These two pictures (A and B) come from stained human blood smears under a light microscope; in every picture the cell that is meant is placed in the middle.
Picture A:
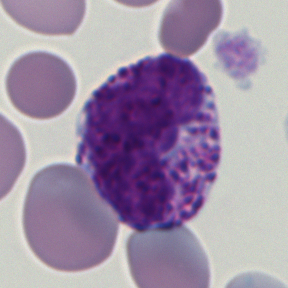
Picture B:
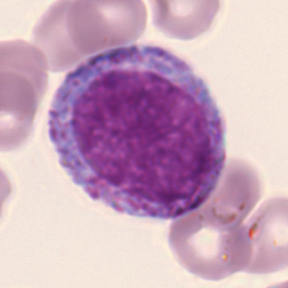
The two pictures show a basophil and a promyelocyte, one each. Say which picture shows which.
A: basophil
B: promyelocyte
